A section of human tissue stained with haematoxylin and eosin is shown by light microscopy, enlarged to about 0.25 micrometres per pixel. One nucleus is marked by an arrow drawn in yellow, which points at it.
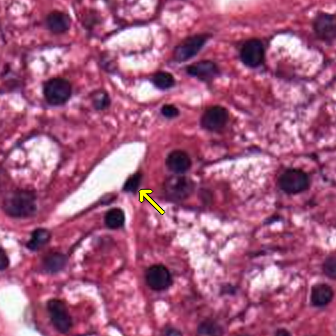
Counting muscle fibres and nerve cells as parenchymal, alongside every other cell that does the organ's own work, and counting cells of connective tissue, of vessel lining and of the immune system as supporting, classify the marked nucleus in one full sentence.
Lying in a supporting cell is the marked nucleus.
